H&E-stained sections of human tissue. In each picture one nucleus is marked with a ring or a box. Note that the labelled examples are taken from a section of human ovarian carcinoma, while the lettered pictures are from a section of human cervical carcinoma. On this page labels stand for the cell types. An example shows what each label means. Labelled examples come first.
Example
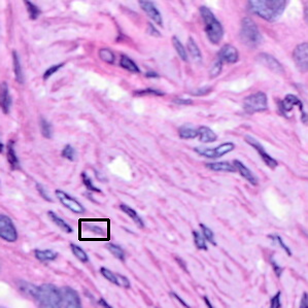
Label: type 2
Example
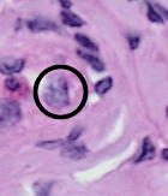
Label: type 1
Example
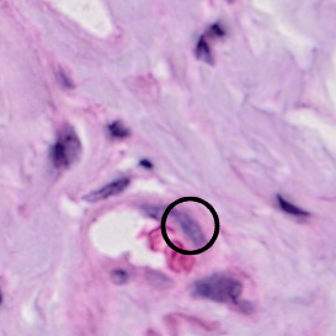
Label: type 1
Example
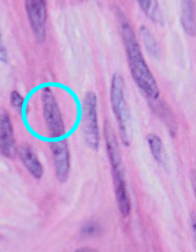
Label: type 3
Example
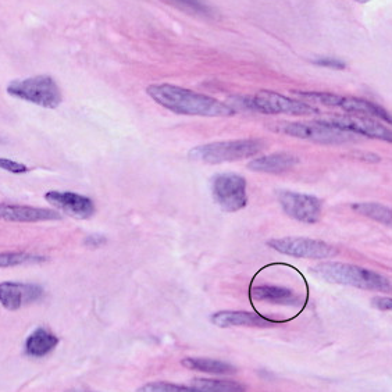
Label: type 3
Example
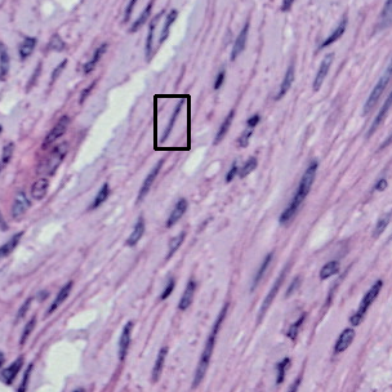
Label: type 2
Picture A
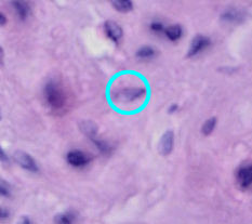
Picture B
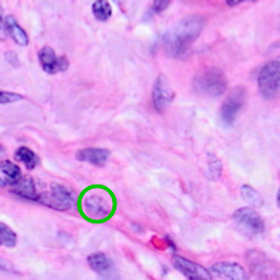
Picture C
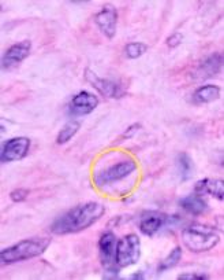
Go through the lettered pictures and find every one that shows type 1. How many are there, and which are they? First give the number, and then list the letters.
Count: 1 (B)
